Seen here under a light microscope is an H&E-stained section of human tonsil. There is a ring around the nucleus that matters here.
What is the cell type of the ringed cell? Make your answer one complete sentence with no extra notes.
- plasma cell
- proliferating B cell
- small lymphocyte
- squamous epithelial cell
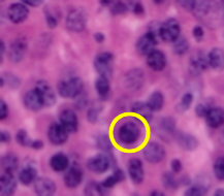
Assigned to a cell type, the ringed cell is a plasma cell.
